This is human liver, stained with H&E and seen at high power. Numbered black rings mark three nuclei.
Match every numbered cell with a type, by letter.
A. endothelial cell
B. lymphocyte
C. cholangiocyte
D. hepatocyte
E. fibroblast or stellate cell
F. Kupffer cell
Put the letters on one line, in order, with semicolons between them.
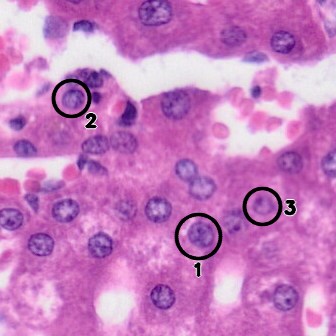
D; C; D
